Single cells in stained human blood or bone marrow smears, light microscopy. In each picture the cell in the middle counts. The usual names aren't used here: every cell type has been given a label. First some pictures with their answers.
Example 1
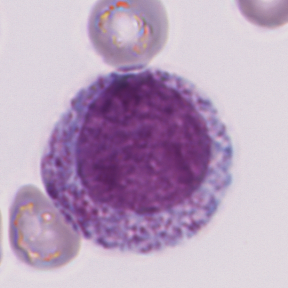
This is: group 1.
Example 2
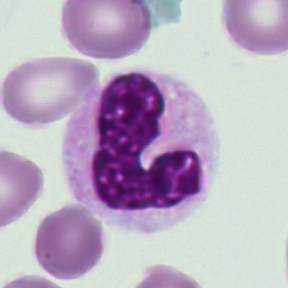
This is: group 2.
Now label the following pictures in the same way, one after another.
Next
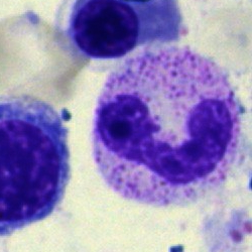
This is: group 2.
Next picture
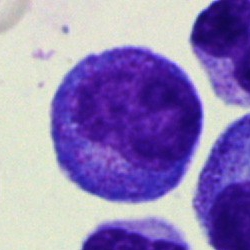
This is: group 1.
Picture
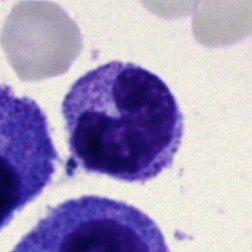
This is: group 2.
